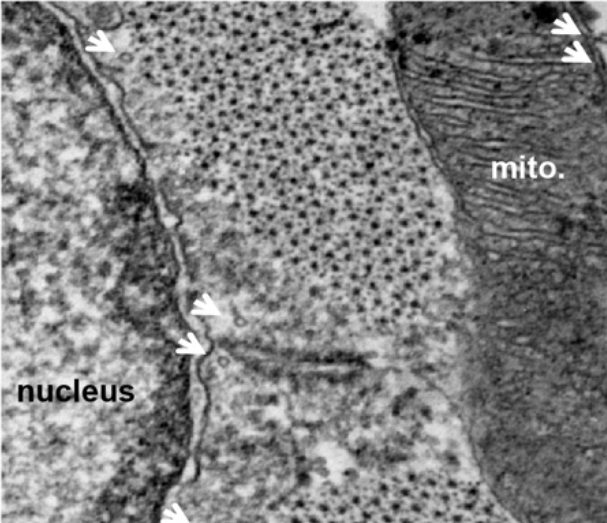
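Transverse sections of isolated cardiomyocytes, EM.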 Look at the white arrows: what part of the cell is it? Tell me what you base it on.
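The arrows point to small round hollow profiles. The profiles lie along the edge of the nucleus and near the mitochondrion, outside the dense dotted array. The answer: Microtubules.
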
